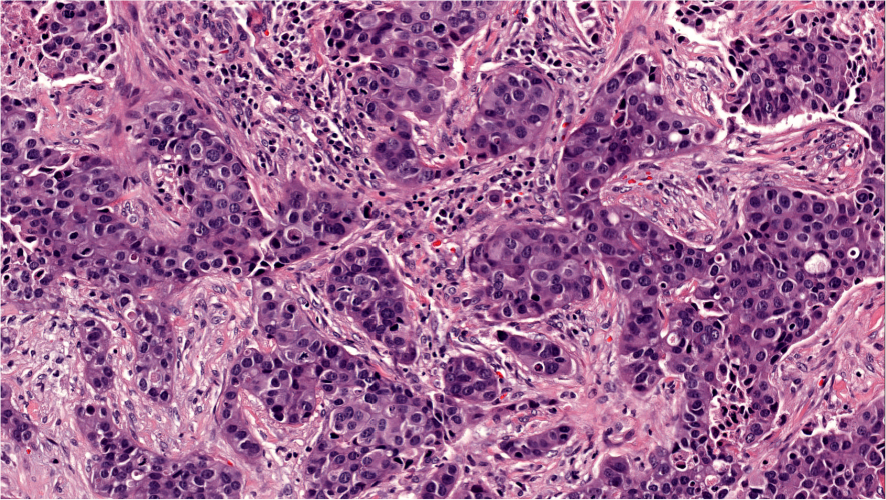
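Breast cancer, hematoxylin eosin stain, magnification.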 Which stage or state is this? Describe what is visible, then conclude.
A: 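Tumour cells grow in solid nests and sheets without glands or tubules. Nuclei are large, vesicular and vary markedly in size and shape. Many nuclei have prominent nucleoli.
Conclusion: High-grade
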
